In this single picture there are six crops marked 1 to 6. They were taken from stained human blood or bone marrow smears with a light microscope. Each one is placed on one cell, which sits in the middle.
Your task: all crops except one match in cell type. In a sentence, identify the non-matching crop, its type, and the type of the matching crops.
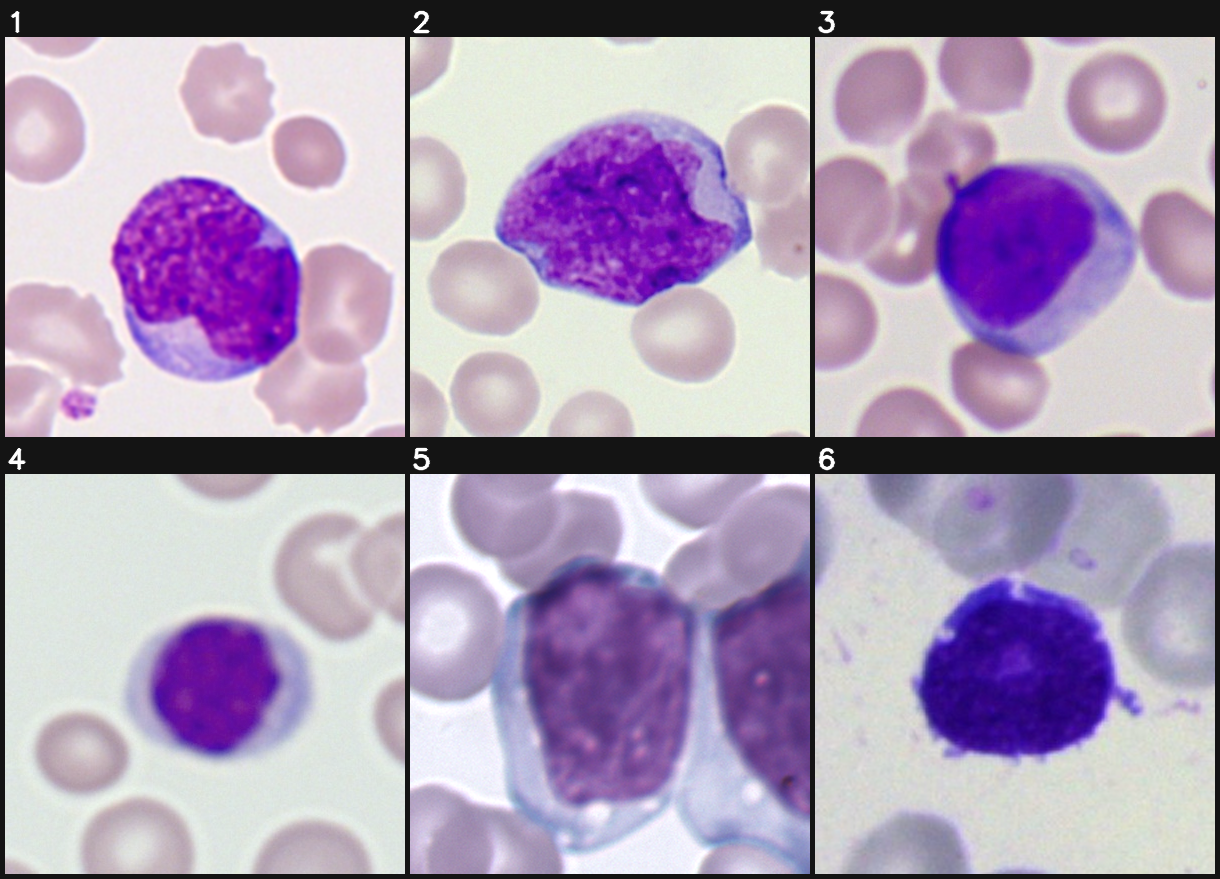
Crop 4 differs from its companions, showing a lymphocyte where they show blasts.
